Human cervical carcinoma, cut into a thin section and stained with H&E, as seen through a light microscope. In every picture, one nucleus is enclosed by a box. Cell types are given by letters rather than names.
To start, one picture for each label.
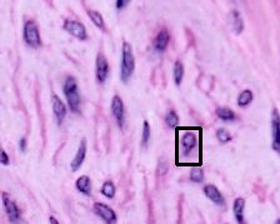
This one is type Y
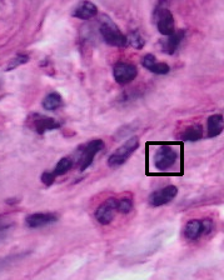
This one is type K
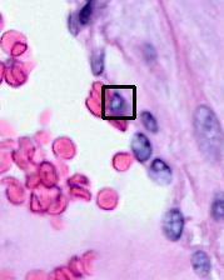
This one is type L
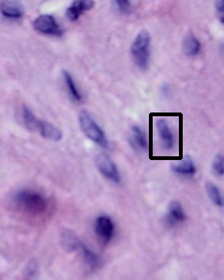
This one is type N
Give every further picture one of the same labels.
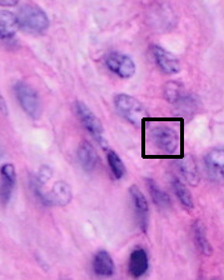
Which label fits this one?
type L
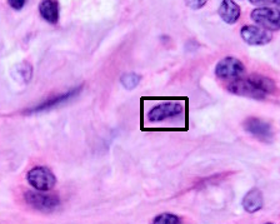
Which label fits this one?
type K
